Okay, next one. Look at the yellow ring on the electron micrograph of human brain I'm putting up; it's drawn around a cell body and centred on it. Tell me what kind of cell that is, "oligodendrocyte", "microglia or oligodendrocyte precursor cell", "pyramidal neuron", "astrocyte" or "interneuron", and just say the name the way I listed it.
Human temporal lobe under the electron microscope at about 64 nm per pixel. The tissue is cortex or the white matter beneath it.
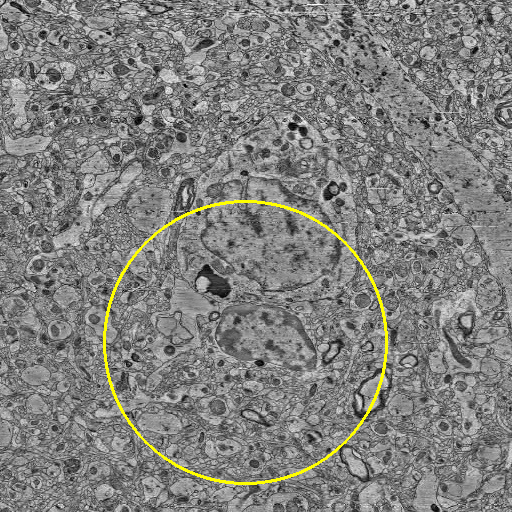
microglia or oligodendrocyte precursor cell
